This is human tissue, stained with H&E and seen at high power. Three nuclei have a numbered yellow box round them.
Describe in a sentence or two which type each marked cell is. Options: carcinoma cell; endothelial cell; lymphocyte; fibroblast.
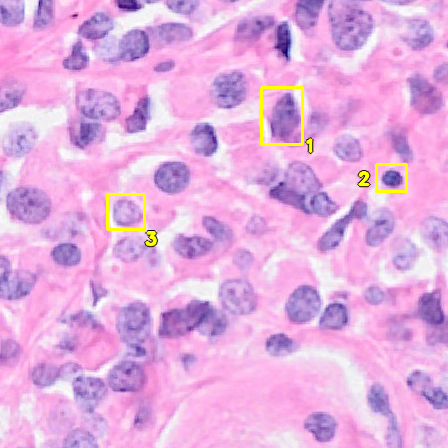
Cell 1 is a carcinoma cell, cell 2 is a lymphocyte and cell 3 is a carcinoma cell.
